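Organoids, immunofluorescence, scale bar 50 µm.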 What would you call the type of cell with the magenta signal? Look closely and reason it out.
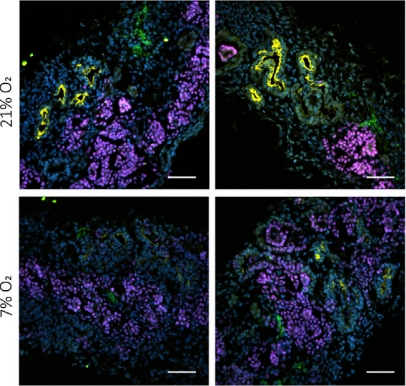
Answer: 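Podocytes. Magenta nuclei lie packed together in rounded clusters. The clusters are separate from the tubular profiles.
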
